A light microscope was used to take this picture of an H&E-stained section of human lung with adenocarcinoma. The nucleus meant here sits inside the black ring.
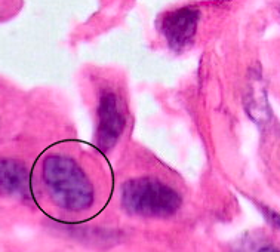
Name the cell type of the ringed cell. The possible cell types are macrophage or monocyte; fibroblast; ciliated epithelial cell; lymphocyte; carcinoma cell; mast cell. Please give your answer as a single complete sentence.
In cellular terms, the ringed cell is a carcinoma cell.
